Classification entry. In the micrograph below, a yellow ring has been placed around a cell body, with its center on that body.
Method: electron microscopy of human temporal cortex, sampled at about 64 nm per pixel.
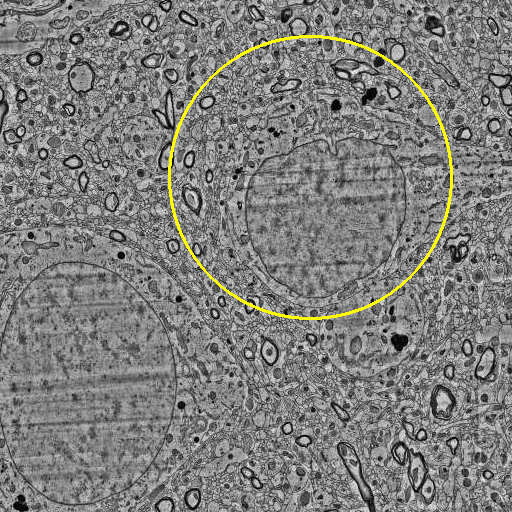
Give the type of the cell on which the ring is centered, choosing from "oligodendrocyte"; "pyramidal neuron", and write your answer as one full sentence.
The cell body at the center of the yellow ring belongs to a pyramidal neuron.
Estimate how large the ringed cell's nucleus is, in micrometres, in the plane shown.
In this plane, approximately 10 micrometres across.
